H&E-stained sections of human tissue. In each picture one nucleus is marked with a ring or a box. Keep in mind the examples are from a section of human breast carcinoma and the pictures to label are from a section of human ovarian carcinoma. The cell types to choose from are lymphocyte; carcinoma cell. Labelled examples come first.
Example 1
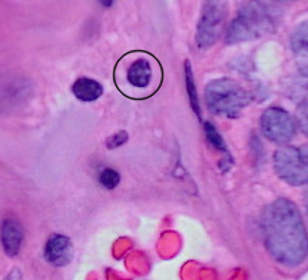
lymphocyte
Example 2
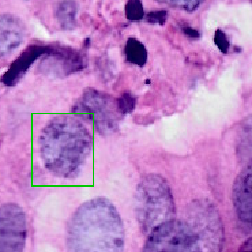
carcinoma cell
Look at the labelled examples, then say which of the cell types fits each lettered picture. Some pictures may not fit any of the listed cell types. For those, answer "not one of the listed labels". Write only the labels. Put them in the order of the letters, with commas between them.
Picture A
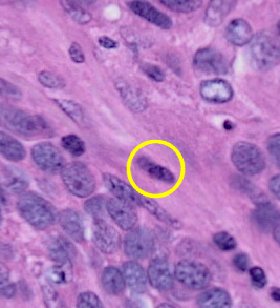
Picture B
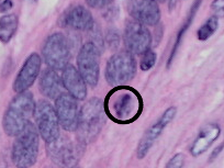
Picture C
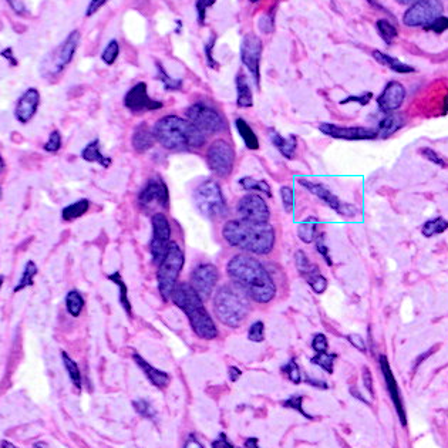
lymphocyte, lymphocyte, not one of the listed labels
